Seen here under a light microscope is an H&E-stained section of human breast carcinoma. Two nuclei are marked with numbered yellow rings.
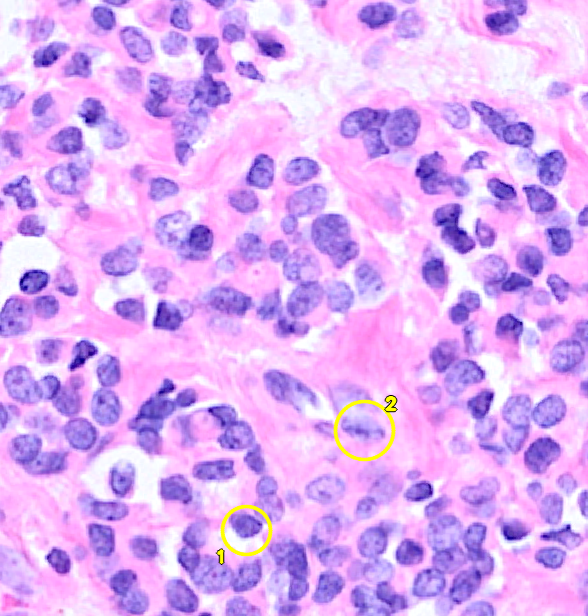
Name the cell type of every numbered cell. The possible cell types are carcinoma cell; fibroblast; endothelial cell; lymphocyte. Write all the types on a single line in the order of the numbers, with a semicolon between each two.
carcinoma cell; endothelial cell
